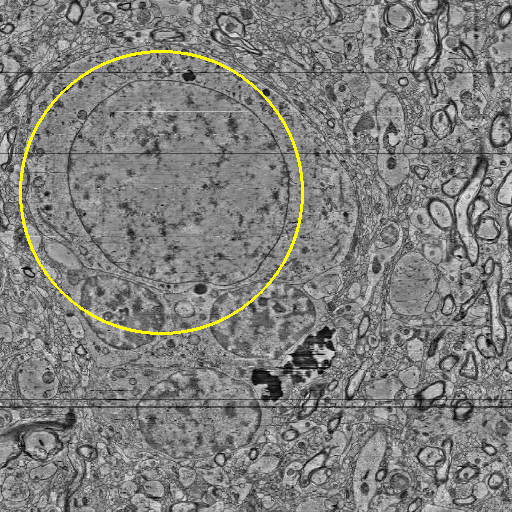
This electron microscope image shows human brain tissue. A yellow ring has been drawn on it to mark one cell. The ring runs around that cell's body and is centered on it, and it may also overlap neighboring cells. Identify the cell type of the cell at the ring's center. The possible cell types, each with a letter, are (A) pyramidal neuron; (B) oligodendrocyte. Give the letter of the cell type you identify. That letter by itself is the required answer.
A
